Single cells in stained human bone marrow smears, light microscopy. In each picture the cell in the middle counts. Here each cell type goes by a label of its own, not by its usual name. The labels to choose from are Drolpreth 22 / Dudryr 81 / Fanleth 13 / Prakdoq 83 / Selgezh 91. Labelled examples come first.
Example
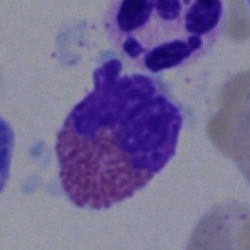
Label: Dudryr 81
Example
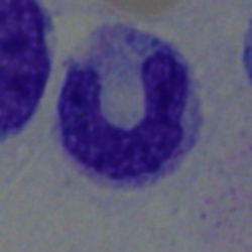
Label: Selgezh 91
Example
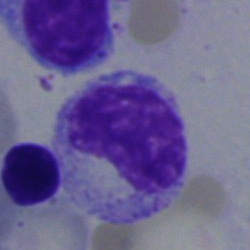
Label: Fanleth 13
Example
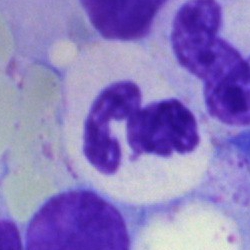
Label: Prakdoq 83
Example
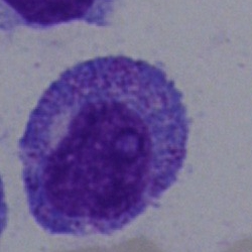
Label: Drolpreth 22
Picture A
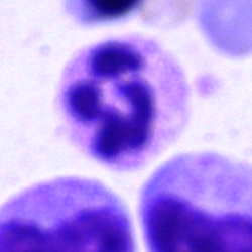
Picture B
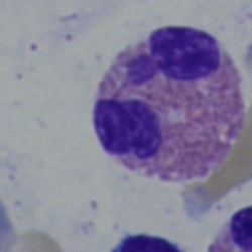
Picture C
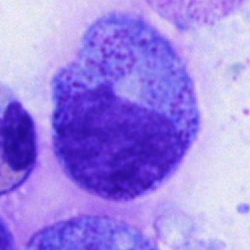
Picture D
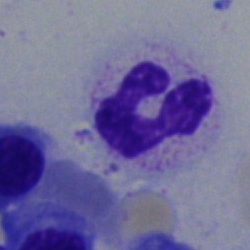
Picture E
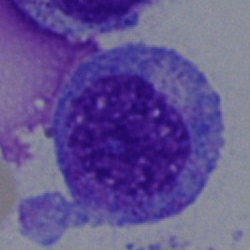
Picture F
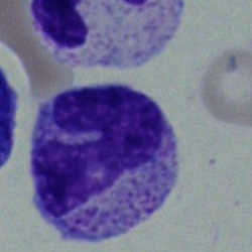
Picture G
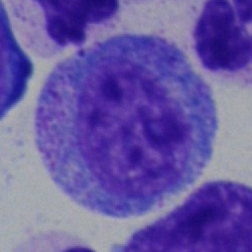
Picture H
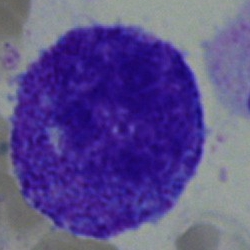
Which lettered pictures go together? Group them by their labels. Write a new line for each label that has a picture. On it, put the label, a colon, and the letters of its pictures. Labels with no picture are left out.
Drolpreth 22: C, E, G, H
Dudryr 81: B
Prakdoq 83: A, D
Selgezh 91: F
